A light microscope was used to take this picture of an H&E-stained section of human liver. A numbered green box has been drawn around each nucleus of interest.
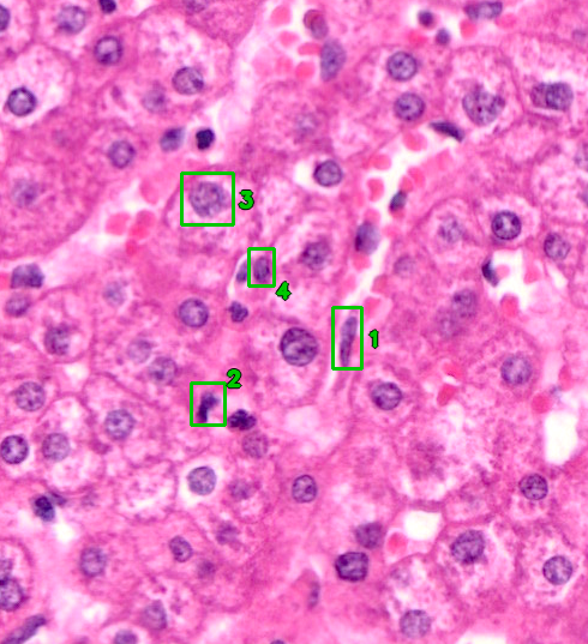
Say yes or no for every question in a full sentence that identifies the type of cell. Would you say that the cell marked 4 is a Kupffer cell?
Yes, the cell bearing the number 4 is a Kupffer cell.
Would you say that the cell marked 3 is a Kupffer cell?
No, the correct answer for cell 3 is a hepatocyte, not a Kupffer cell.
